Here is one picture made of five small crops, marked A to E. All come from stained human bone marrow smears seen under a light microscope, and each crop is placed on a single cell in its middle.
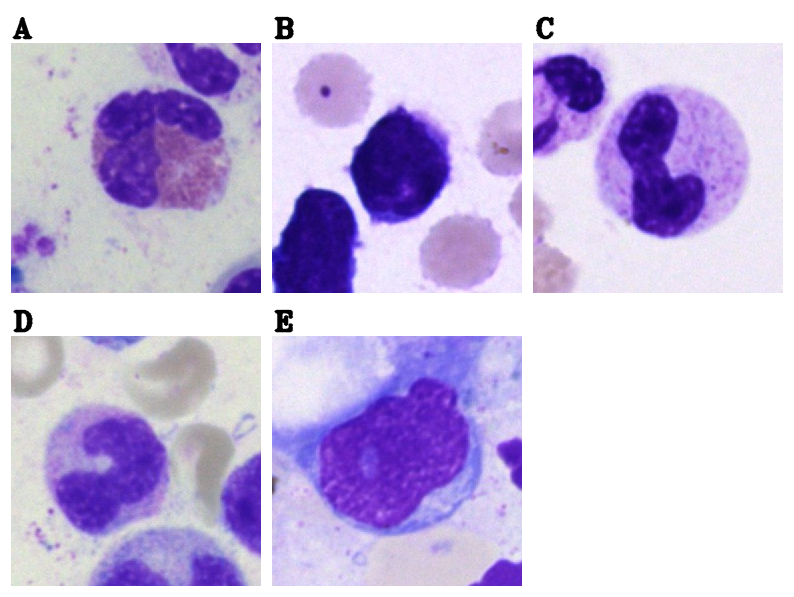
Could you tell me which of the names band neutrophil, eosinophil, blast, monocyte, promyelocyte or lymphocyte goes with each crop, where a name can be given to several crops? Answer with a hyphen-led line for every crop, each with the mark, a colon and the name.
- A: eosinophil
- B: blast
- C: band neutrophil
- D: band neutrophil
- E: blast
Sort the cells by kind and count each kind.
blast: 2
band neutrophil: 2
eosinophil: 1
